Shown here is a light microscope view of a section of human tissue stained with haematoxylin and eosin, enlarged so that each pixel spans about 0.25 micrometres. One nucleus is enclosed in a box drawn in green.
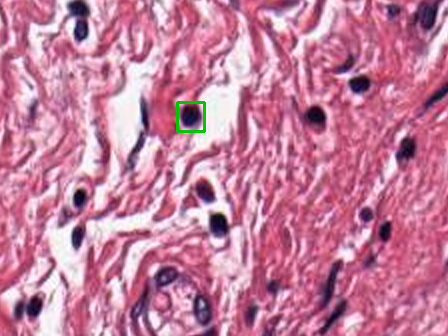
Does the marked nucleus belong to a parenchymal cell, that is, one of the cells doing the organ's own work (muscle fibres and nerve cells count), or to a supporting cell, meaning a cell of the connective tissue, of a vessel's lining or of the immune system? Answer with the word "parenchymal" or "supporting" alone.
supporting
